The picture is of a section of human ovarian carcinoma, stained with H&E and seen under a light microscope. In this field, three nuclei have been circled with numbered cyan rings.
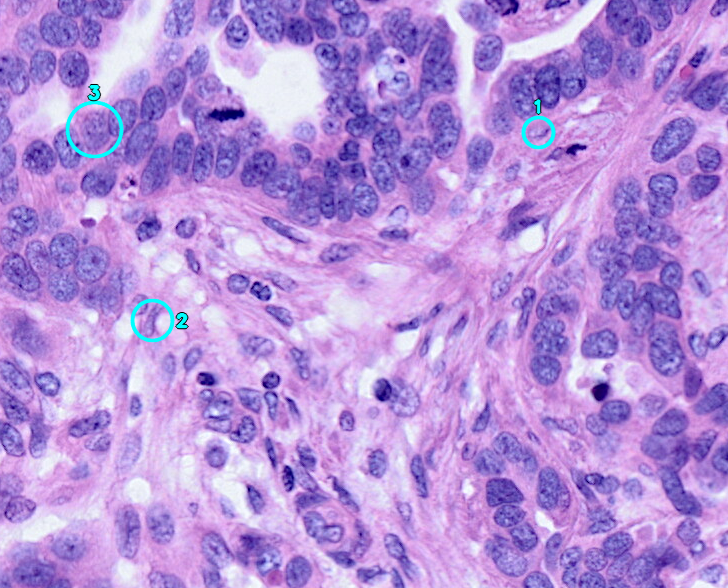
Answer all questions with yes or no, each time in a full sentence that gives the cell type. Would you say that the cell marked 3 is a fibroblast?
No, the cell bearing number 3 is not a fibroblast but a carcinoma cell.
